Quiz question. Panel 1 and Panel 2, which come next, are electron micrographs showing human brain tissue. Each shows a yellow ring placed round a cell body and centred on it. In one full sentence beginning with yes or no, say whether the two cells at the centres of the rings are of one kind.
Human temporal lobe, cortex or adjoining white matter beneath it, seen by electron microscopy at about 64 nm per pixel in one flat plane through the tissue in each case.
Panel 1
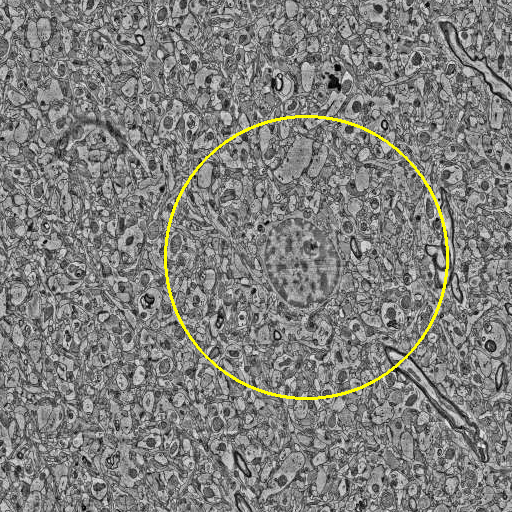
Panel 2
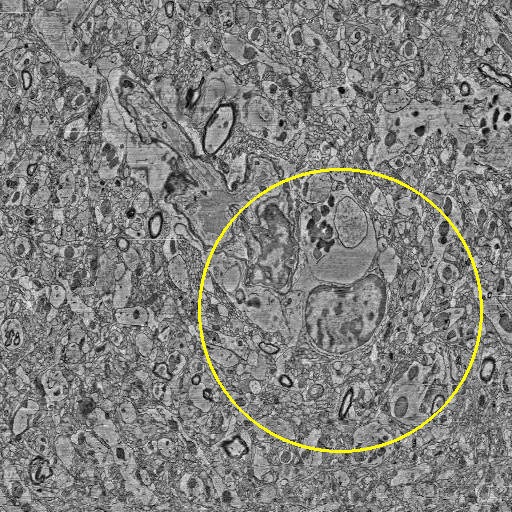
No, Panel 1 and Panel 2 show two kinds of cell at the centre of the ring.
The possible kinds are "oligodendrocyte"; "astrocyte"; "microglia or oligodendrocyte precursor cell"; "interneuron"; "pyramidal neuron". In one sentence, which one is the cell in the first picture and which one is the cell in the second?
The cell ringed in the second picture is a microglial cell or oligodendrocyte precursor cell, whereas the one ringed in the first is an oligodendrocyte.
